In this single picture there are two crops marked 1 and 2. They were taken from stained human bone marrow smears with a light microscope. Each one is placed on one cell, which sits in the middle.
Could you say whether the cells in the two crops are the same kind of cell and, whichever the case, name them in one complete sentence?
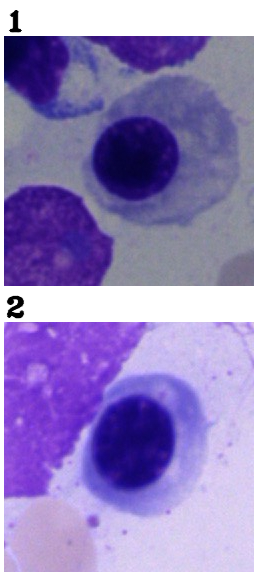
Yes, in the case of both crops, the central cells are normoblasts.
